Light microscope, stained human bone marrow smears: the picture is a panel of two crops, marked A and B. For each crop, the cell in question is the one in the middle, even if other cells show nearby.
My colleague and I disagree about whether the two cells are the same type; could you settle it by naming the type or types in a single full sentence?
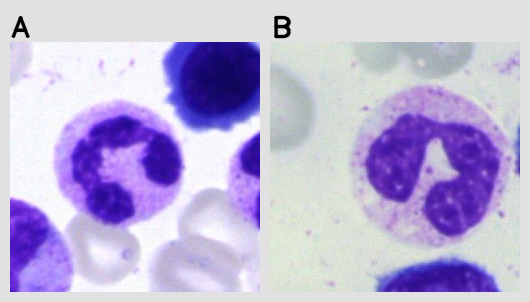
Yes, both crops do show segmented neutrophils in the middle.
